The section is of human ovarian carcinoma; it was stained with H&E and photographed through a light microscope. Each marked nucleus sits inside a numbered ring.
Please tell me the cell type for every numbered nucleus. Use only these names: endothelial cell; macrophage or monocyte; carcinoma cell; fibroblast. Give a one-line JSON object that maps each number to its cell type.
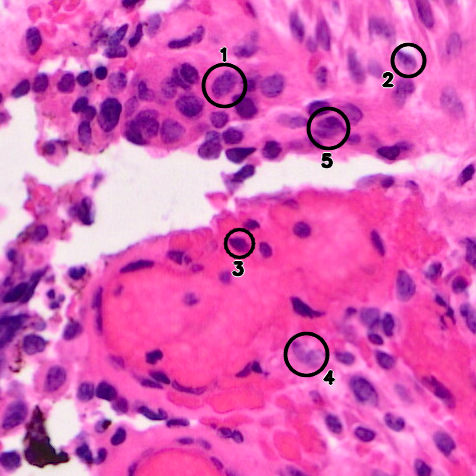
{"1": "carcinoma cell", "2": "fibroblast", "3": "endothelial cell", "4": "fibroblast", "5": "carcinoma cell"}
